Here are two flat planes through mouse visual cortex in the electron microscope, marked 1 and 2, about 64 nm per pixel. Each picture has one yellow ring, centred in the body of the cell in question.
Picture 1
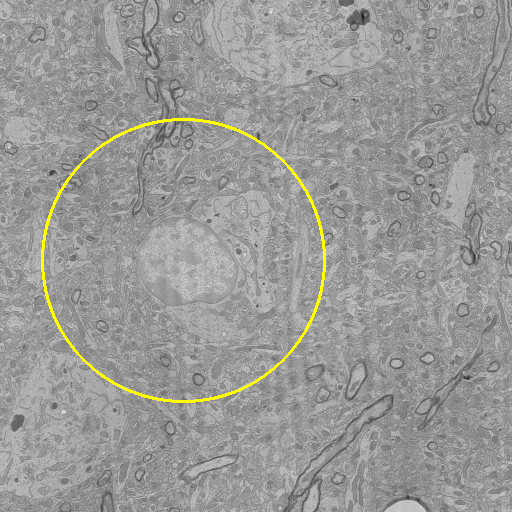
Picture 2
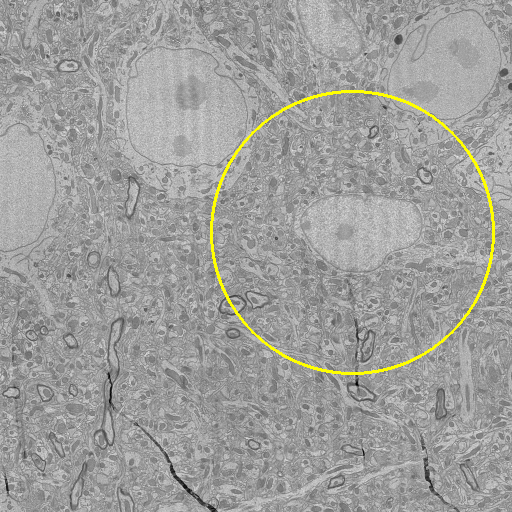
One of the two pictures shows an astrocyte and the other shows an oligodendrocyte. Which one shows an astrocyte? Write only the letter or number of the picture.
2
